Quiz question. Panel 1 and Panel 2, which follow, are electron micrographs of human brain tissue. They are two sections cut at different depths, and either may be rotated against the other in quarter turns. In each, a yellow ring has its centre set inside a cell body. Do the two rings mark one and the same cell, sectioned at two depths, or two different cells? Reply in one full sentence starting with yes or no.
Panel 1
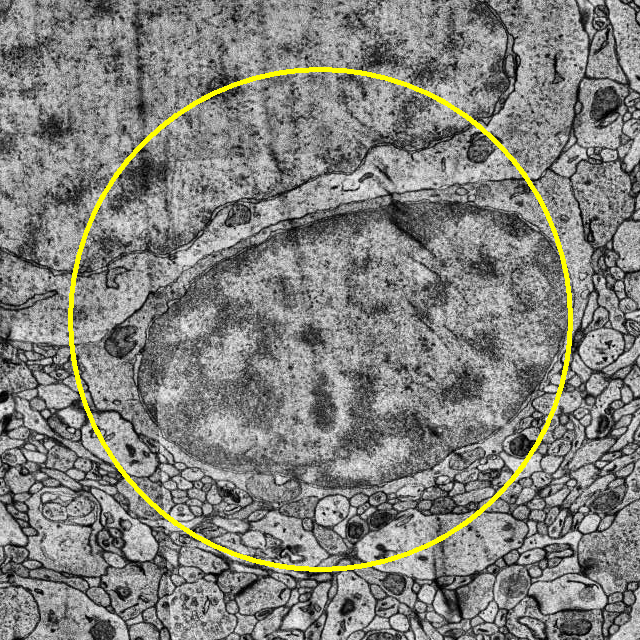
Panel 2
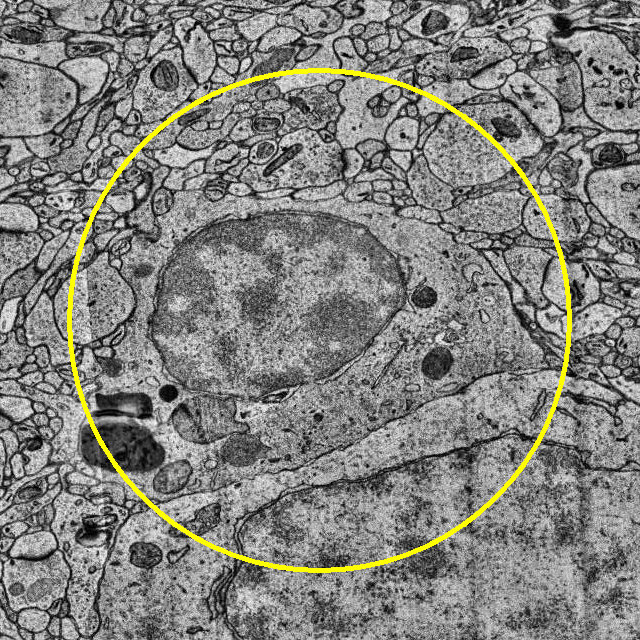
Yes, the rings do not mark different cells but one cell.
